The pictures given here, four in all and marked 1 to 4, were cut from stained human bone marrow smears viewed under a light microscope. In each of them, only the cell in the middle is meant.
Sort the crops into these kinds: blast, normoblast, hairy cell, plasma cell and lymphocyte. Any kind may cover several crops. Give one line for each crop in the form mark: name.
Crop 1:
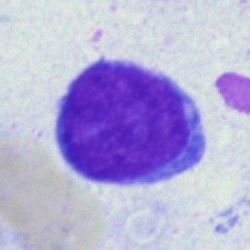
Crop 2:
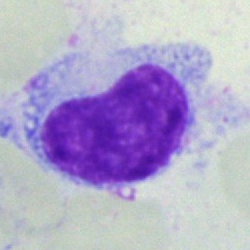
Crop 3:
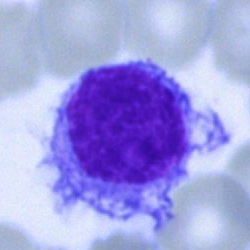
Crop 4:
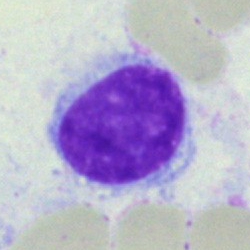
1: blast
2: hairy cell
3: hairy cell
4: hairy cell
